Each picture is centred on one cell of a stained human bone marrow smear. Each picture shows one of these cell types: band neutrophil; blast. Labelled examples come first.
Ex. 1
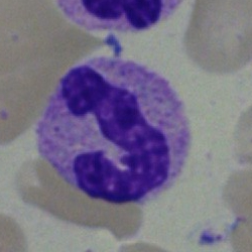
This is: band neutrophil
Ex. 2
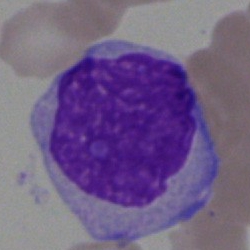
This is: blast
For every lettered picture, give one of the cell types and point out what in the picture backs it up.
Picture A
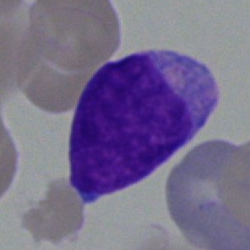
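blast. Reason: The nucleus fills most of the cell.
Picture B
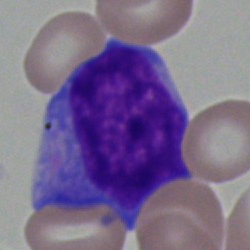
blast. Reason: The nucleus is large and fills most of the cell.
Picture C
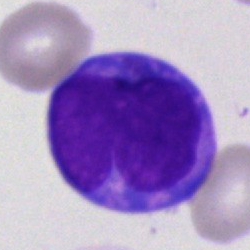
blast. Reason: The chromatin is fine and evenly spread rather than coarsely clumped.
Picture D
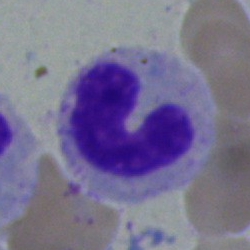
band neutrophil. Reason: The nucleus is bent into a C shape whose notch opens toward the upper right.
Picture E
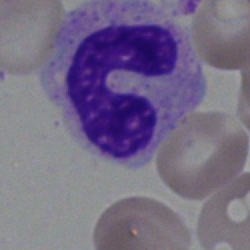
band neutrophil. Reason: The nucleus is bent into a C shape whose opening faces right.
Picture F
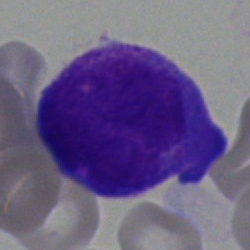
blast. Reason: The nucleus fills almost the whole cell, leaving only a scant rim of cytoplasm.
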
